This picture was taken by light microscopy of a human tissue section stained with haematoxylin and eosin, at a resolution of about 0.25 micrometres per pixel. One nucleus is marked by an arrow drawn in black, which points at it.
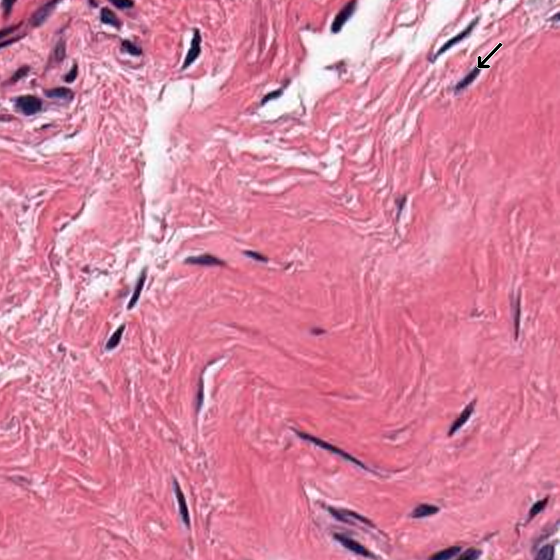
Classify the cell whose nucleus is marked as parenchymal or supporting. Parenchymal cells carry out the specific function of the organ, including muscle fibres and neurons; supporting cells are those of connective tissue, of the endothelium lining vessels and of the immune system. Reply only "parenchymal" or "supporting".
supporting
